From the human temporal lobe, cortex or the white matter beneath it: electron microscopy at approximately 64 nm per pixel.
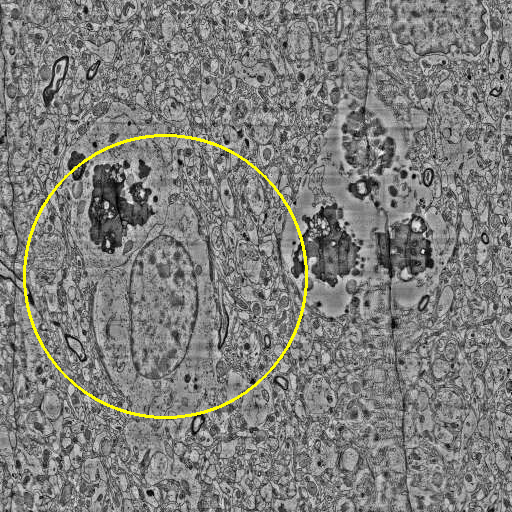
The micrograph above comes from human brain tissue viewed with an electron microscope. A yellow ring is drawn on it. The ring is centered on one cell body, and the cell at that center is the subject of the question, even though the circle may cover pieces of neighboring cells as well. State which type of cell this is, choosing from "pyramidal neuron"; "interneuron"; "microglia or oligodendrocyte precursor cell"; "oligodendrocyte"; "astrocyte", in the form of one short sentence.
The cell the ring is centered on is an astrocyte.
